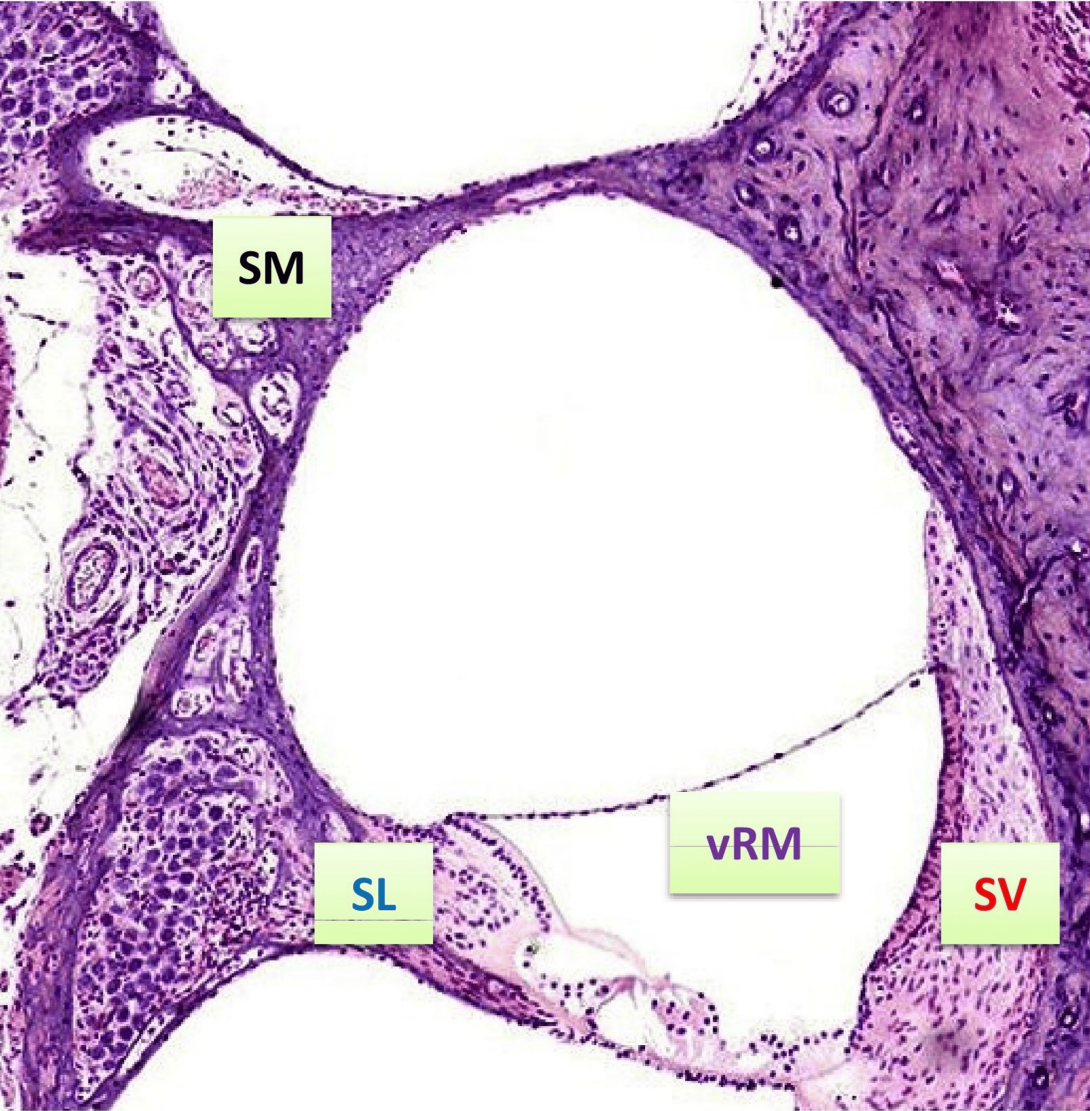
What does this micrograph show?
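This is a section through the cochlea in which large, empty-looking fluid spaces are bounded by thin walls of purple-staining tissue. A very thin, single-line membrane crosses the lower part of one space and separates it from a smaller compartment below. To the right, the spaces are enclosed by a broad band of pink matrix containing scattered cells in small lacunae, with a cell-rich lining along its inner face. To the left lie bundles of fibres, small blood vessels and dense clusters of round cells with dark purple nuclei. Along the floor of the lower compartment runs a thicker cellular ridge with a delicate, pale pink structure above it.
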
